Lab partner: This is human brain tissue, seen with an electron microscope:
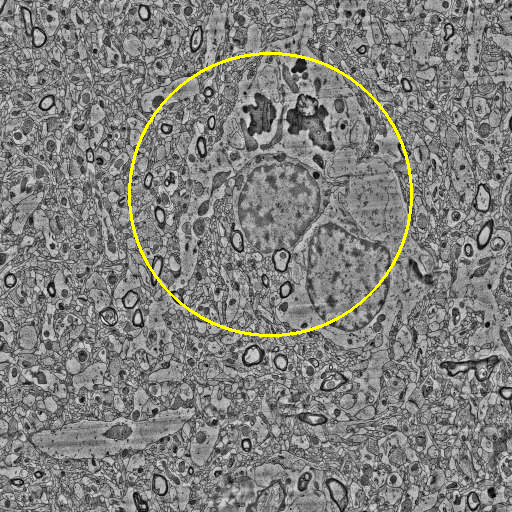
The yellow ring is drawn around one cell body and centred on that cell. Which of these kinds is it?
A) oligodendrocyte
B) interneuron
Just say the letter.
A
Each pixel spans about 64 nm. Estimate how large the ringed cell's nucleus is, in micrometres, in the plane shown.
The ringed cell's nucleus is about 6 micrometres long and 5 micrometres wide in this plane.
